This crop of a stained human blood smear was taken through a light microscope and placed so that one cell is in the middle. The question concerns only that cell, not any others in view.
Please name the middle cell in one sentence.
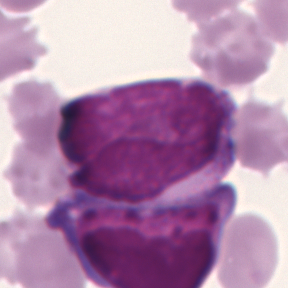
Positioned in the middle of the crop is a myeloblast.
